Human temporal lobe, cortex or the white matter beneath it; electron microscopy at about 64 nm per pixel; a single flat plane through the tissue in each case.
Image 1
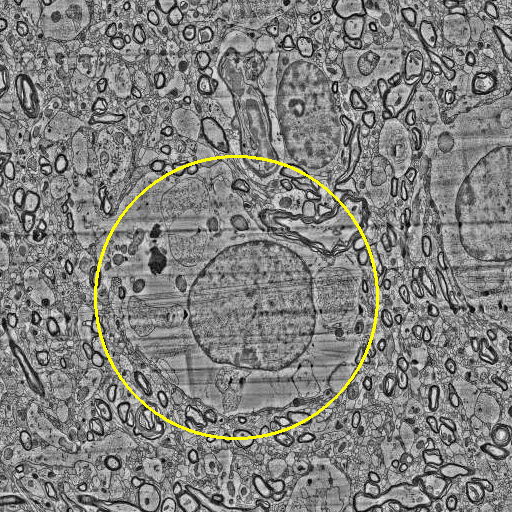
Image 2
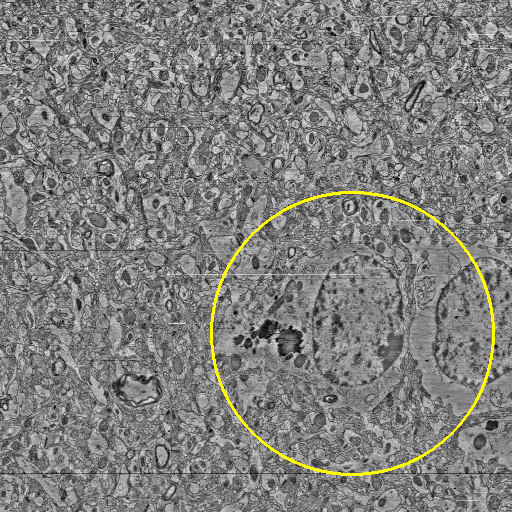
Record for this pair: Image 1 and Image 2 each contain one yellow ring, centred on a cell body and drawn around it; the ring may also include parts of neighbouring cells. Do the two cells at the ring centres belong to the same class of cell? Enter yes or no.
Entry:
yes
